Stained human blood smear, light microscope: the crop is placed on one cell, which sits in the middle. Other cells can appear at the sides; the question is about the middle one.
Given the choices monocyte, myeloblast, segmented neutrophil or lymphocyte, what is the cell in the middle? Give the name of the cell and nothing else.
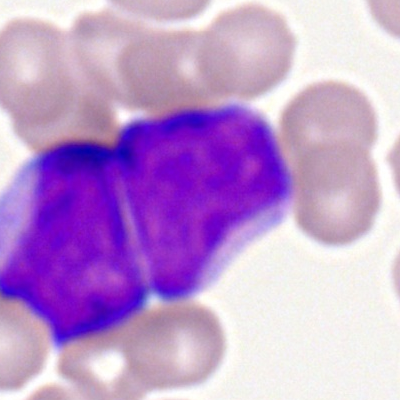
myeloblast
